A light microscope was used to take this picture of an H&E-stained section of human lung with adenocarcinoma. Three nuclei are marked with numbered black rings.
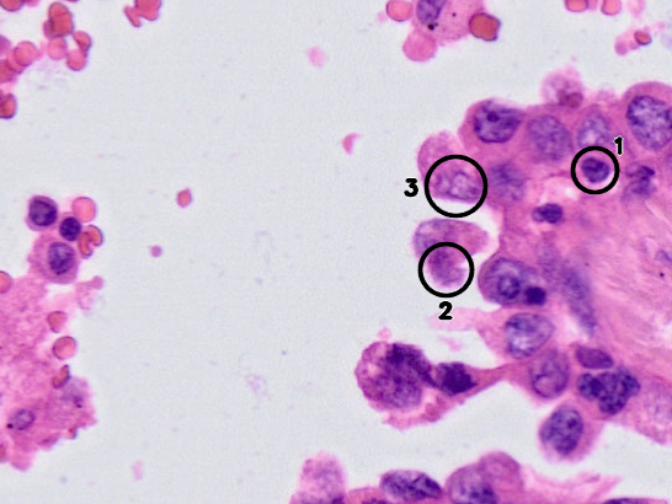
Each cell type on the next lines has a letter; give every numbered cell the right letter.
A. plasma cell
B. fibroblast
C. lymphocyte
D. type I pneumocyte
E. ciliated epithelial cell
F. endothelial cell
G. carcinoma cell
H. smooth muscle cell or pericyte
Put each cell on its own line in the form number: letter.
1: C
2: G
3: G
